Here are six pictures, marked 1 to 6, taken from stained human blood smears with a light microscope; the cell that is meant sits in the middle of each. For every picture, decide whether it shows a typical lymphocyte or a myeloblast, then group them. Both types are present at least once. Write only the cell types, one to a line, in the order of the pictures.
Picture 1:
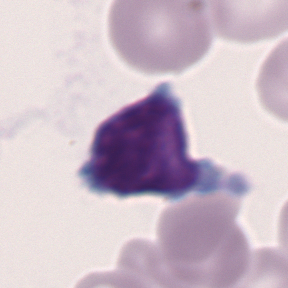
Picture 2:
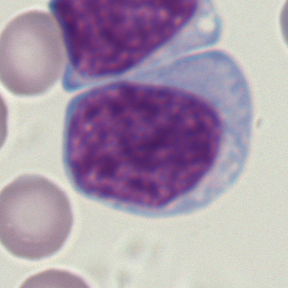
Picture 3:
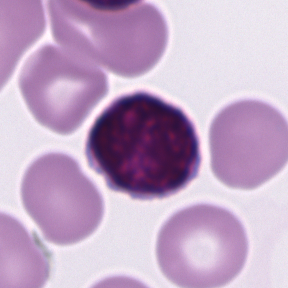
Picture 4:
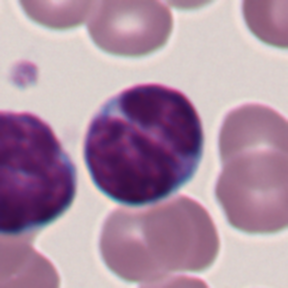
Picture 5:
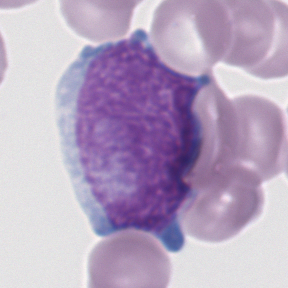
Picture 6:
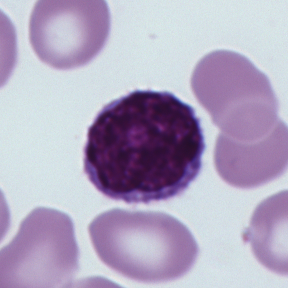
typical lymphocyte
myeloblast
typical lymphocyte
typical lymphocyte
myeloblast
typical lymphocyte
